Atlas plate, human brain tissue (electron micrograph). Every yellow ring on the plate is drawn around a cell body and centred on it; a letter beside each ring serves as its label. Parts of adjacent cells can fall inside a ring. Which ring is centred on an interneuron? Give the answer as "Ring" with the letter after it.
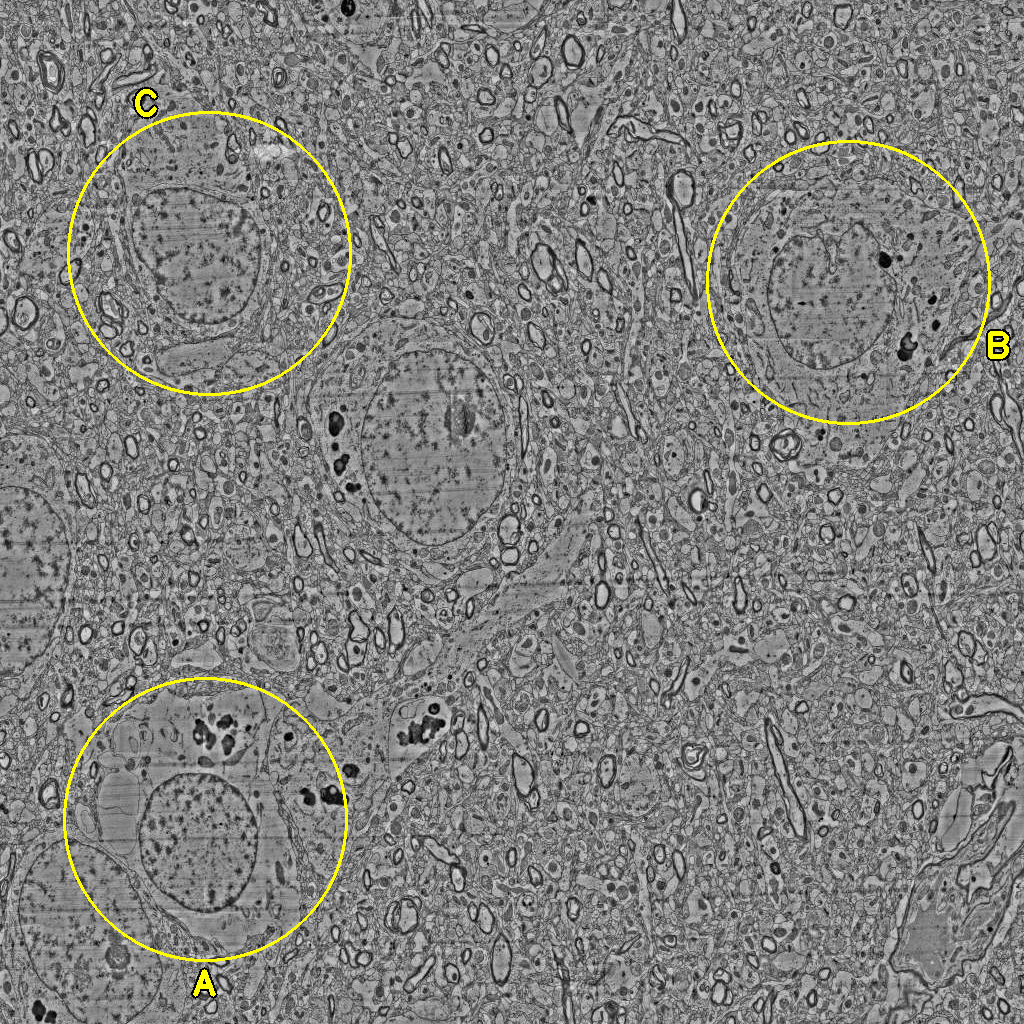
Ring C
